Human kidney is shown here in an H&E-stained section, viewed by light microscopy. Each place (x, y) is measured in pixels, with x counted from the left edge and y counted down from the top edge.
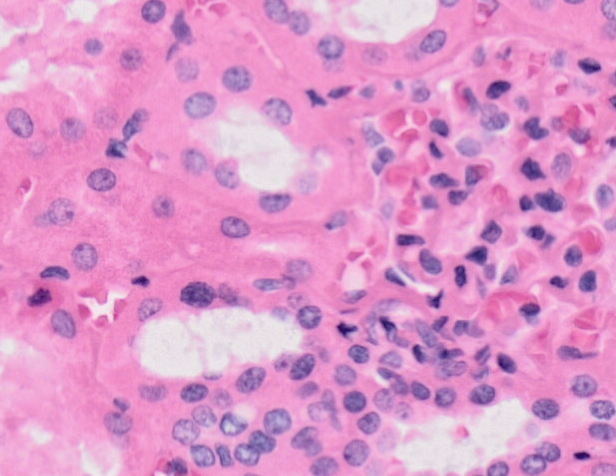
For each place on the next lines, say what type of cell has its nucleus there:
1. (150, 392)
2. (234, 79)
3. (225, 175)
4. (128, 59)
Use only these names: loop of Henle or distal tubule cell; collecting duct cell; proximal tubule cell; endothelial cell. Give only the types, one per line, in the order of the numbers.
loop of Henle or distal tubule cell
loop of Henle or distal tubule cell
loop of Henle or distal tubule cell
proximal tubule cell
